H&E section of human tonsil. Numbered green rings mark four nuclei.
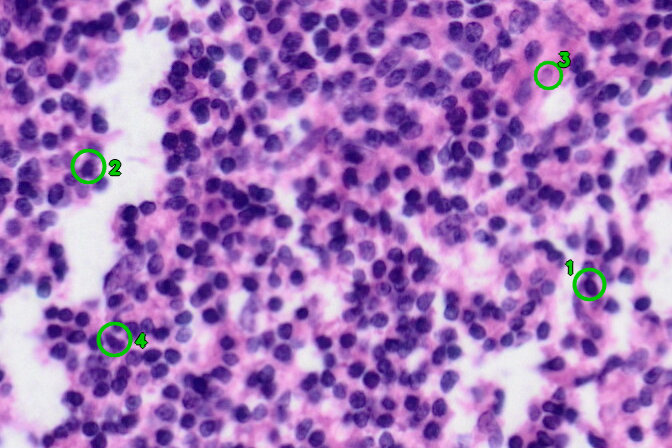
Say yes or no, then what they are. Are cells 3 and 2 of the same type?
No, that's off: cell 3 is an endothelial cell and cell 2 is a small lymphocyte.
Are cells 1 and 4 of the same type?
Yes, in the case of cells 1 and 4, both are small lymphocytes.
